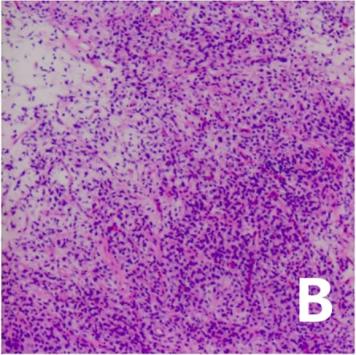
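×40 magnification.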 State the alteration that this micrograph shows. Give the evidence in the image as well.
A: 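Dense areas packed with dark nuclei lie beside paler, loosely cellular areas. The cellularity varies across the field. The answer: hypercellular and hypocellular areas.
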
